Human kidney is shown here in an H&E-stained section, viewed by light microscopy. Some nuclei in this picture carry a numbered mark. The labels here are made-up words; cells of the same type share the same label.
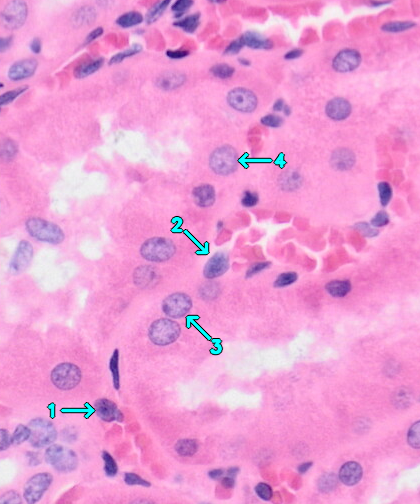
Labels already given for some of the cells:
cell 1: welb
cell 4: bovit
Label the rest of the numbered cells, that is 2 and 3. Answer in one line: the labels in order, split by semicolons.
welb; bovit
